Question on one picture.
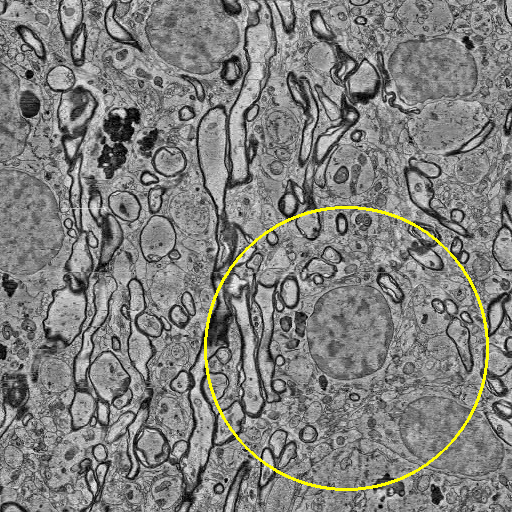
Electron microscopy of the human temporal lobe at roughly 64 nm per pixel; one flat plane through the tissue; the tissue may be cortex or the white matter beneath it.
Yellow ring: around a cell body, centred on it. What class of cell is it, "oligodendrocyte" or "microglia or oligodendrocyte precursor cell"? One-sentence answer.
This is a microglial cell or oligodendrocyte precursor cell, the cell the ring is centred on.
